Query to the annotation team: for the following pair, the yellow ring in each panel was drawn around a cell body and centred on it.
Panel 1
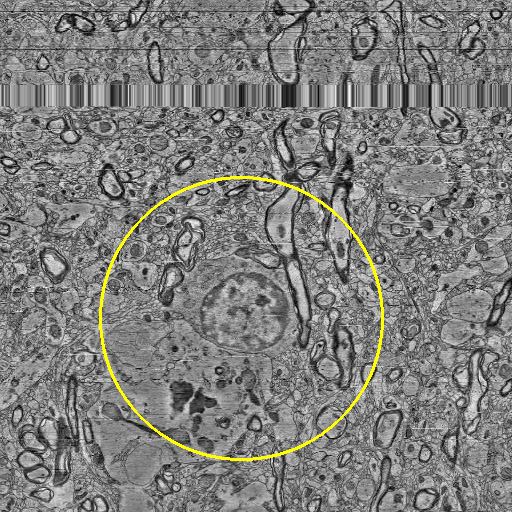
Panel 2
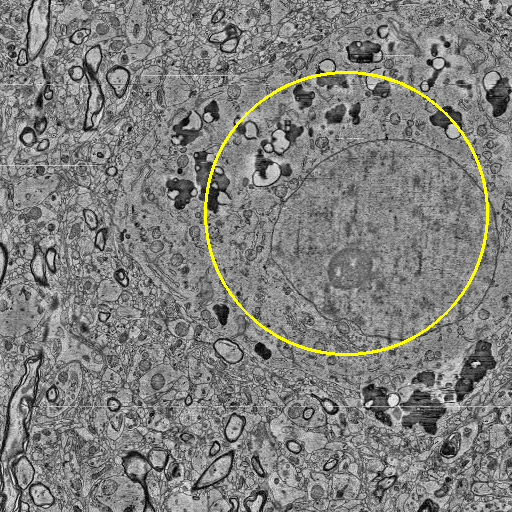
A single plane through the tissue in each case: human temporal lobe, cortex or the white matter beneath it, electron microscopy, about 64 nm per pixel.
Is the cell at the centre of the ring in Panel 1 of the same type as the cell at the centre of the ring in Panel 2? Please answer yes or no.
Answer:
no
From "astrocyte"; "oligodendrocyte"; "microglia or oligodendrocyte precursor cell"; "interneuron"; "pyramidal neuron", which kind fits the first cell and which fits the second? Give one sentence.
The cell marked in the first picture is an oligodendrocyte, and the one marked in the second is a pyramidal neuron.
